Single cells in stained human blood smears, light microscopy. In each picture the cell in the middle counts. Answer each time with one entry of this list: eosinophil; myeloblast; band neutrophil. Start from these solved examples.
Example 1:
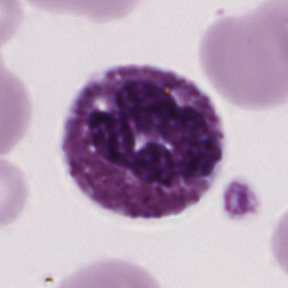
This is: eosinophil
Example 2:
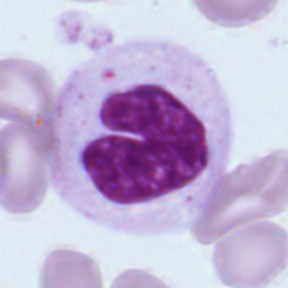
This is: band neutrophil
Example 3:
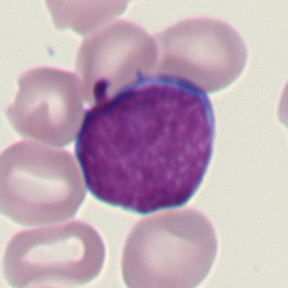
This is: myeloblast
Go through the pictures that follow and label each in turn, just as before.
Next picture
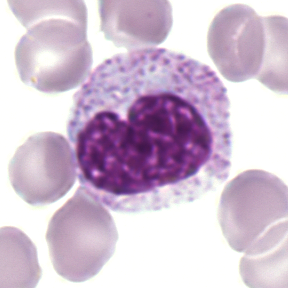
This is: band neutrophil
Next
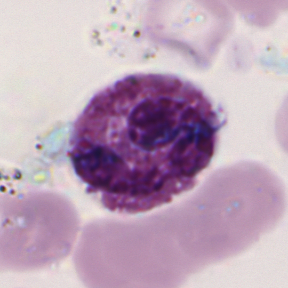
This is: eosinophil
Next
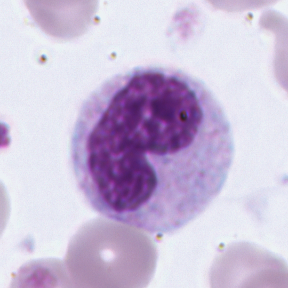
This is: band neutrophil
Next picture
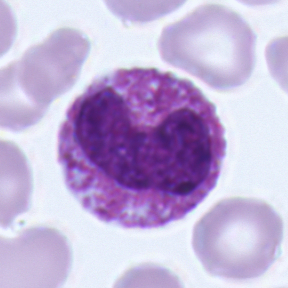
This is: eosinophil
